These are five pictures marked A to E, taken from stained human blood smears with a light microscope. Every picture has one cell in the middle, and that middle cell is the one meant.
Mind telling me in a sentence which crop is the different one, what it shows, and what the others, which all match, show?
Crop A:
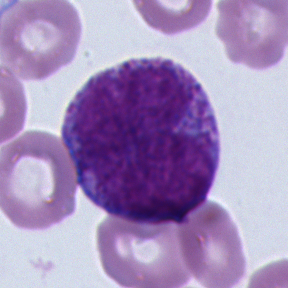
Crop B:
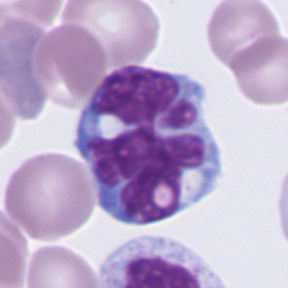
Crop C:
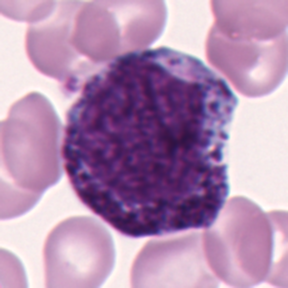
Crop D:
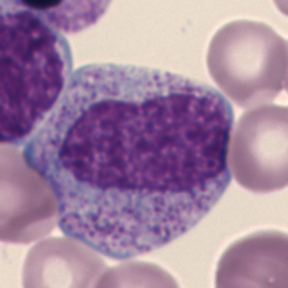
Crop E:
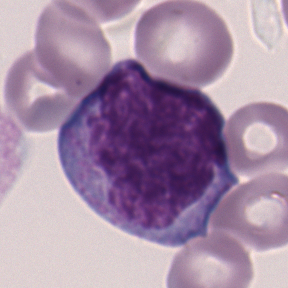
The one crop not showing promyelocytes is crop B, which shows a monocyte.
